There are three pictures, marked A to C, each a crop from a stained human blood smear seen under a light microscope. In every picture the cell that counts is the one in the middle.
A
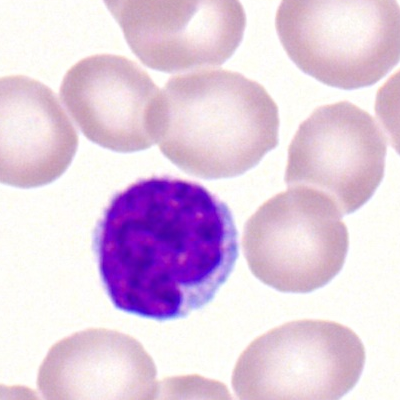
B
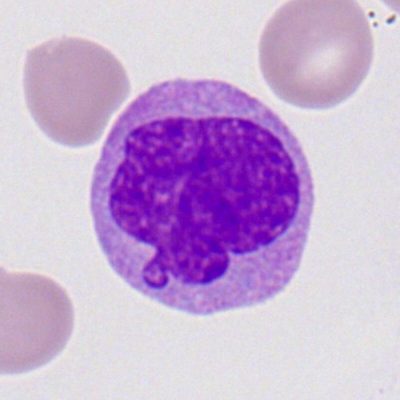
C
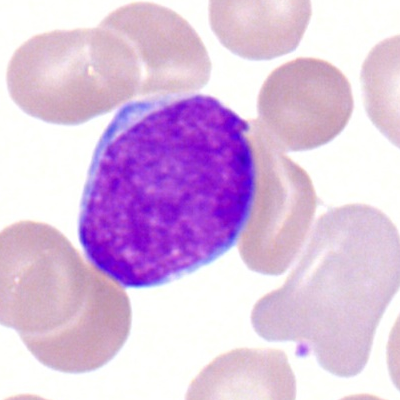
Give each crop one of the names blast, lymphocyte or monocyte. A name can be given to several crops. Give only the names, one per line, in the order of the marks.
lymphocyte
monocyte
blast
